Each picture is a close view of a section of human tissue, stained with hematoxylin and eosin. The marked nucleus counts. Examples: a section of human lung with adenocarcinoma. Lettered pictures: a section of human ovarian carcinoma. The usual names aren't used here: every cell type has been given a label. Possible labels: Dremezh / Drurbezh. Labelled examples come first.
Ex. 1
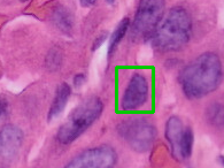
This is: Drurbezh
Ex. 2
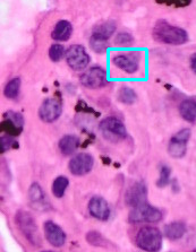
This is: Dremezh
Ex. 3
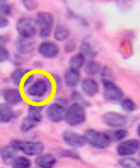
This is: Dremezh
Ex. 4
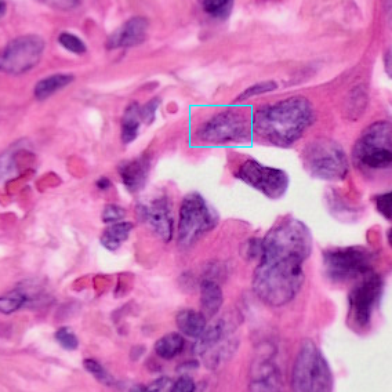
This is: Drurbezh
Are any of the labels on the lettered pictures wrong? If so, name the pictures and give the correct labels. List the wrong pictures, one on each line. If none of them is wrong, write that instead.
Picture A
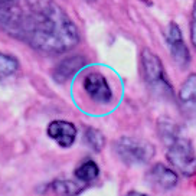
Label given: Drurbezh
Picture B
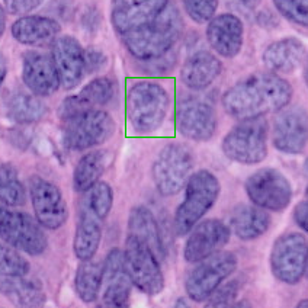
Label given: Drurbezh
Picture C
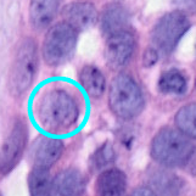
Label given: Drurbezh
A: Dremezh, not Drurbezh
